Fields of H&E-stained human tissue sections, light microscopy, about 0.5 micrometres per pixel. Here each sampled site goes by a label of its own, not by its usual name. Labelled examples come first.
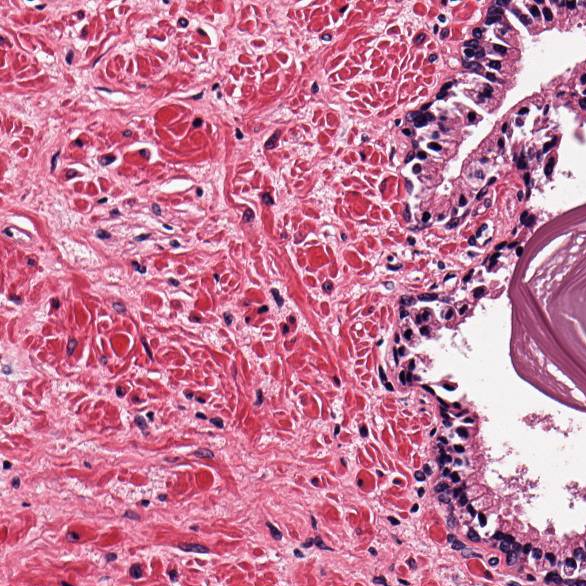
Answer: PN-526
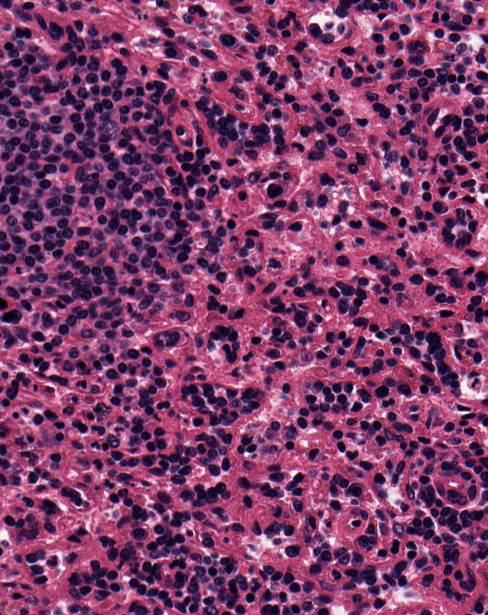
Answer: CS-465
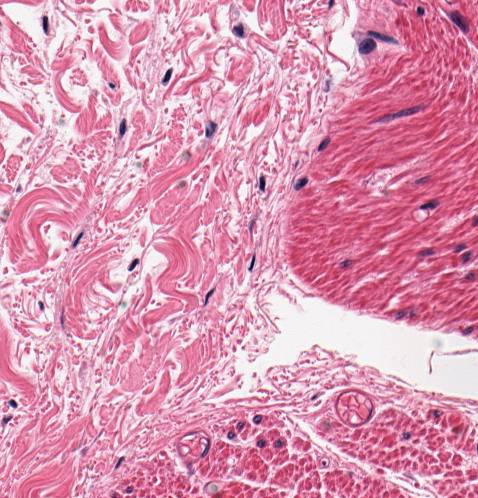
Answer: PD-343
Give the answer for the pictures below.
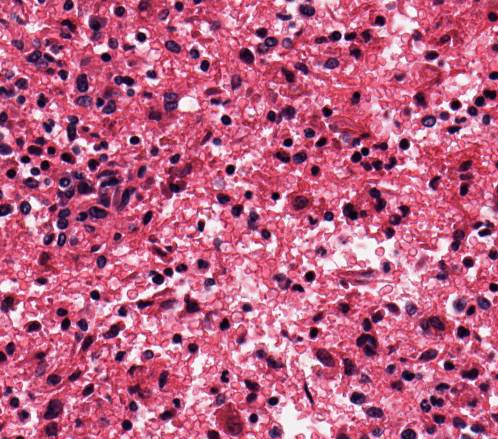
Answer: CS-465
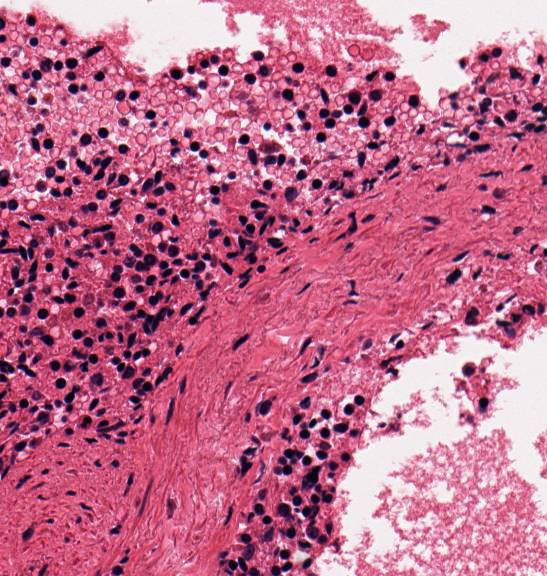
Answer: CS-465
